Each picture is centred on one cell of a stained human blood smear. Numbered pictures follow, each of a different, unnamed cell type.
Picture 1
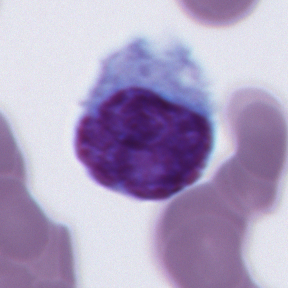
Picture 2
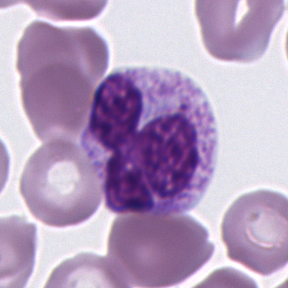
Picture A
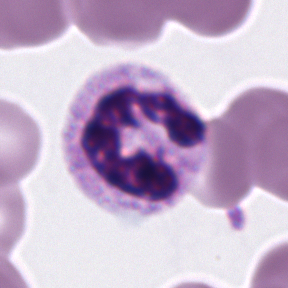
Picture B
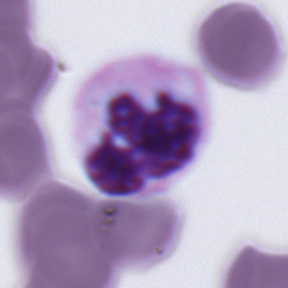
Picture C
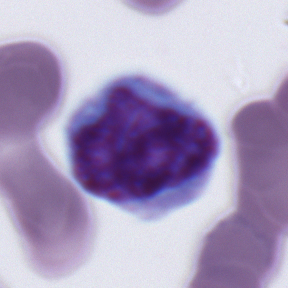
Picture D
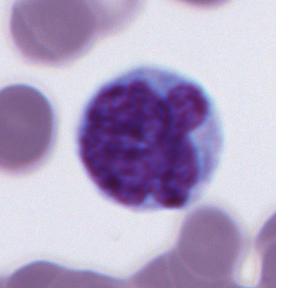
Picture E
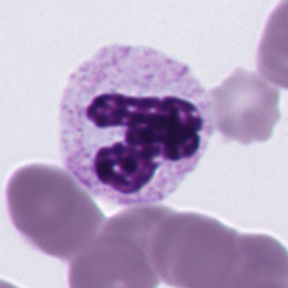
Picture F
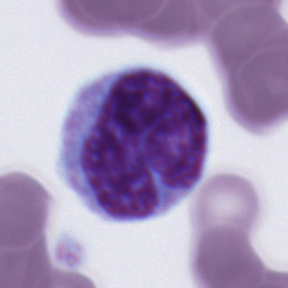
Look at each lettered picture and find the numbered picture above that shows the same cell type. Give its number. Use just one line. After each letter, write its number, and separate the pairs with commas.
A 2, B 2, C 1, D 1, E 2, F 1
